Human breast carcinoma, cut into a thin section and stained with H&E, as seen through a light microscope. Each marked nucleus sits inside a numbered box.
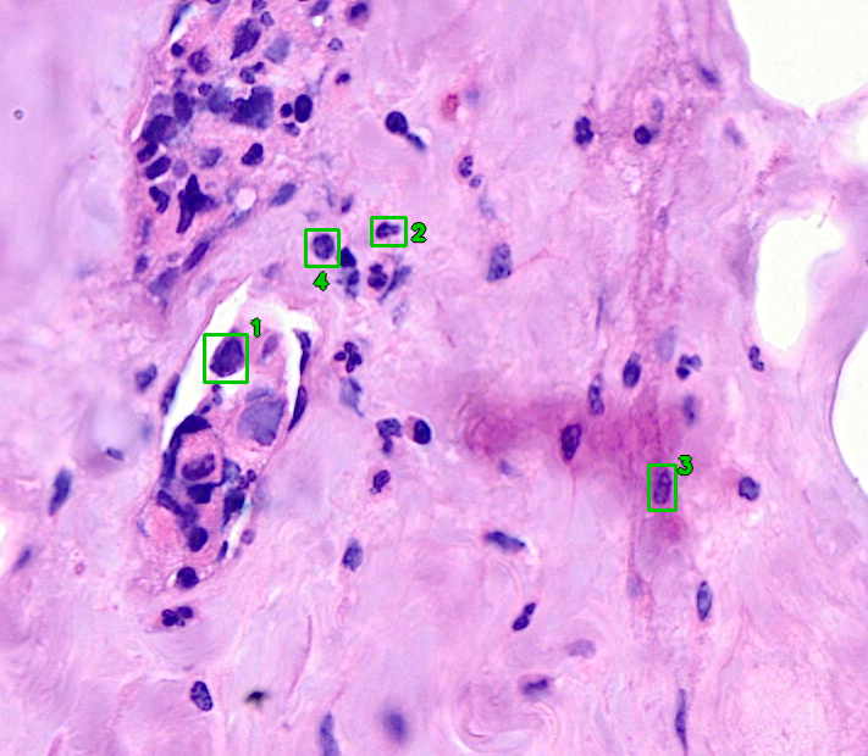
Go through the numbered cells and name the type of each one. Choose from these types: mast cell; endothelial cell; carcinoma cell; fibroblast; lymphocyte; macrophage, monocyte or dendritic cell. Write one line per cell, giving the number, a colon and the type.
1: carcinoma cell
2: lymphocyte
3: fibroblast
4: lymphocyte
